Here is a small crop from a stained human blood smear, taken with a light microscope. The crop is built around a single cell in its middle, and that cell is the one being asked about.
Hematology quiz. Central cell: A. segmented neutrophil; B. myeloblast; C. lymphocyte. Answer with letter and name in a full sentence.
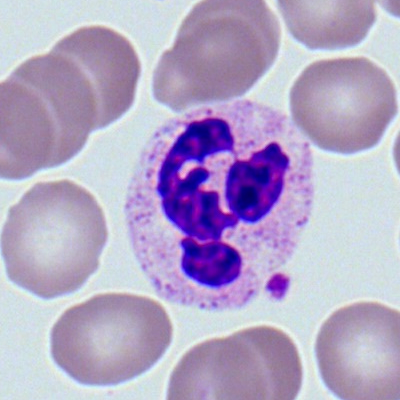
The right choice is option A: the cell in the middle is a segmented neutrophil.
